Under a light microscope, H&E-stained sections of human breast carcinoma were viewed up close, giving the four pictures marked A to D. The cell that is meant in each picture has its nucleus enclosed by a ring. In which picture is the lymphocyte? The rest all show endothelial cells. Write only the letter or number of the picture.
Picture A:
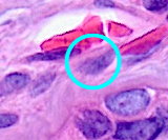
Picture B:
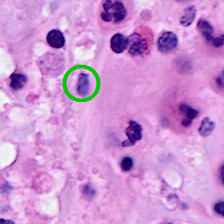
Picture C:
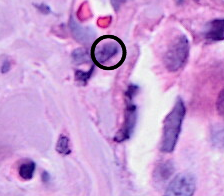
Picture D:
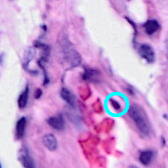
B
